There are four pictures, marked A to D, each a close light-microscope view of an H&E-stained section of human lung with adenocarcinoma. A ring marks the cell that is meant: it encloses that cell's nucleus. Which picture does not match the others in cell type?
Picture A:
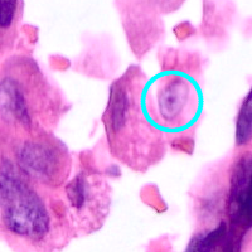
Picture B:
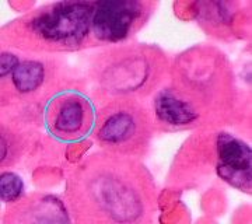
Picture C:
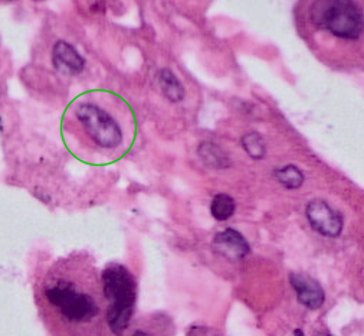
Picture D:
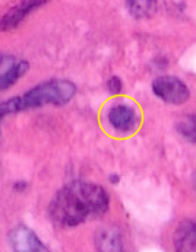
D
